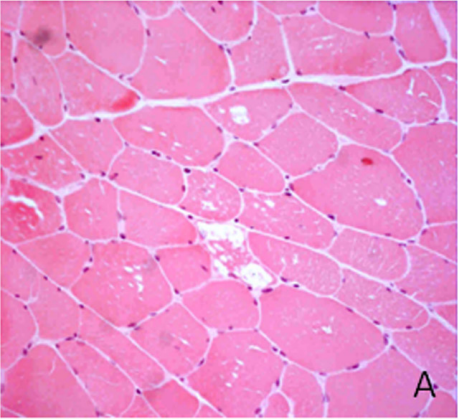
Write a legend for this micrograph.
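Transverse section of skeletal muscle with polygonal fibres of moderately variable size, closely packed and separated by thin pale endomysium. Nuclei are small, dark purple and lie mostly at the fibre periphery. Several fibres contain clear, unstained vacuoles of differing size, some small and slit-like, others larger and irregular. A few fibres show small dark or deeper red round inclusions. No inflammatory infiltrate is evident.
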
